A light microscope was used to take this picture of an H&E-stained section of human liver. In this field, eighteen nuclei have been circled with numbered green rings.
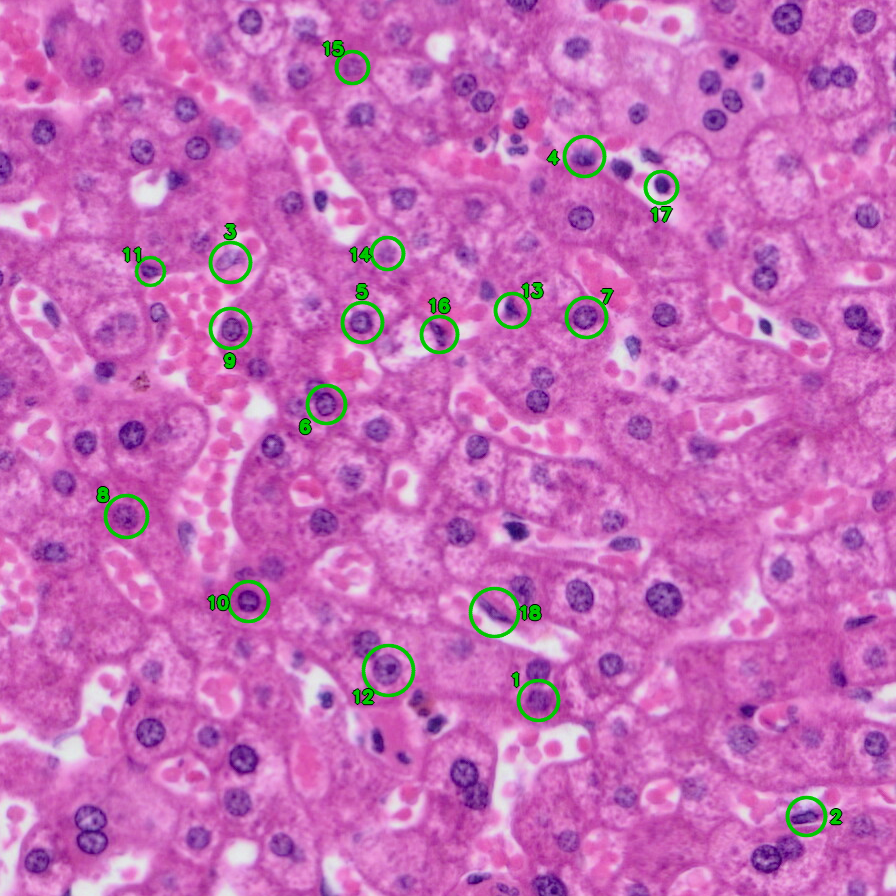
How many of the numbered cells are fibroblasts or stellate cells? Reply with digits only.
2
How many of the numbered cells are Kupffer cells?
3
